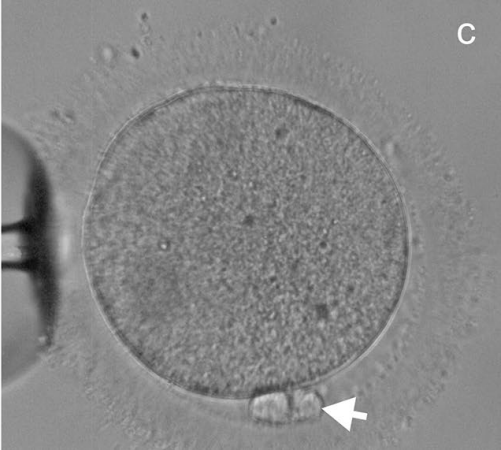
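A single large round oocyte with finely granular, fairly even cytoplasm containing a few small darker spots. A thin clear space separates the cell membrane from a broad outer coat with a fine radial, fuzzy texture. At the lower pole, within that space, lies a small bright polar body that appears divided into two lobes. A large smooth glass pipette touches the coat at the left edge, holding the cell. No nucleus is visible in the cytoplasm.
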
